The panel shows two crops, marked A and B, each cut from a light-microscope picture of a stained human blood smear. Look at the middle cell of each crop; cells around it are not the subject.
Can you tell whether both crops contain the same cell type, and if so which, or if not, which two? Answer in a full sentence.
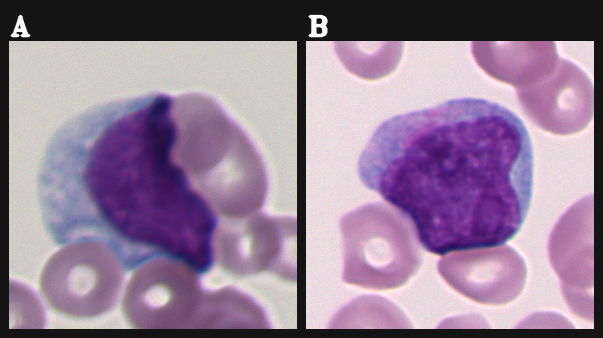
No, crop A captures a myeloblast; meanwhile crop B captures an atypical promyelocyte.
